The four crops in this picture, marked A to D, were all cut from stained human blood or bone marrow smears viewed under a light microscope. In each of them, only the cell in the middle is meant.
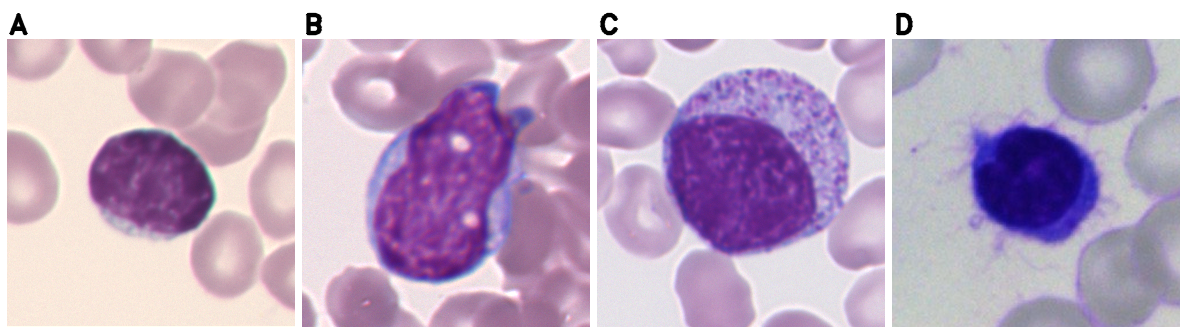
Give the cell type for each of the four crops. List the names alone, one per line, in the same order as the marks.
lymphocyte
blast
myelocyte
lymphocyte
